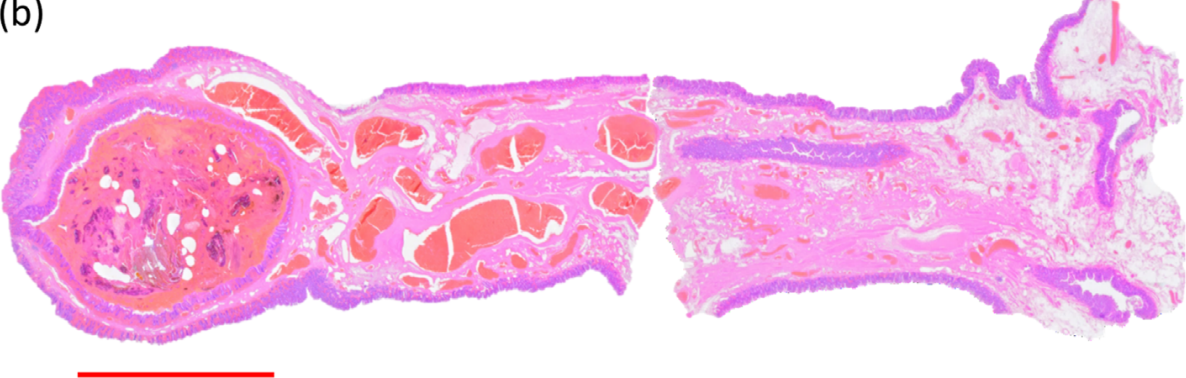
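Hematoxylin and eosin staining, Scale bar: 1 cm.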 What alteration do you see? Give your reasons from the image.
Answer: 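Many large, rounded, thin-walled spaces lie in the loose pink tissue beneath the surface lining. These spaces are filled with solid red material consistent with packed blood. That points to this answer: cystically dilated and congested blood vessels.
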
